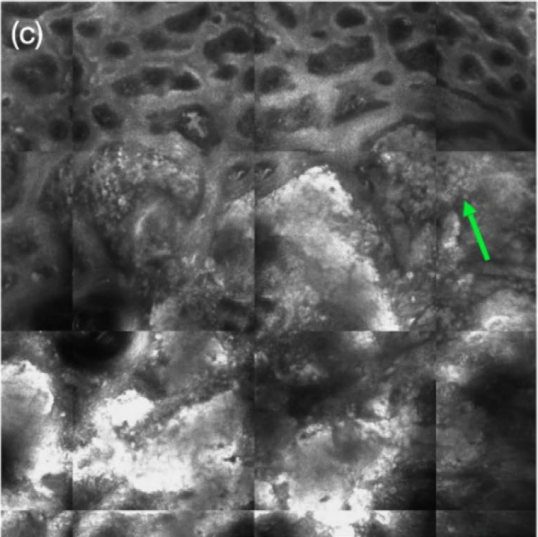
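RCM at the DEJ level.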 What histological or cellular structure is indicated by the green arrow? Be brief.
Large confluent nests.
